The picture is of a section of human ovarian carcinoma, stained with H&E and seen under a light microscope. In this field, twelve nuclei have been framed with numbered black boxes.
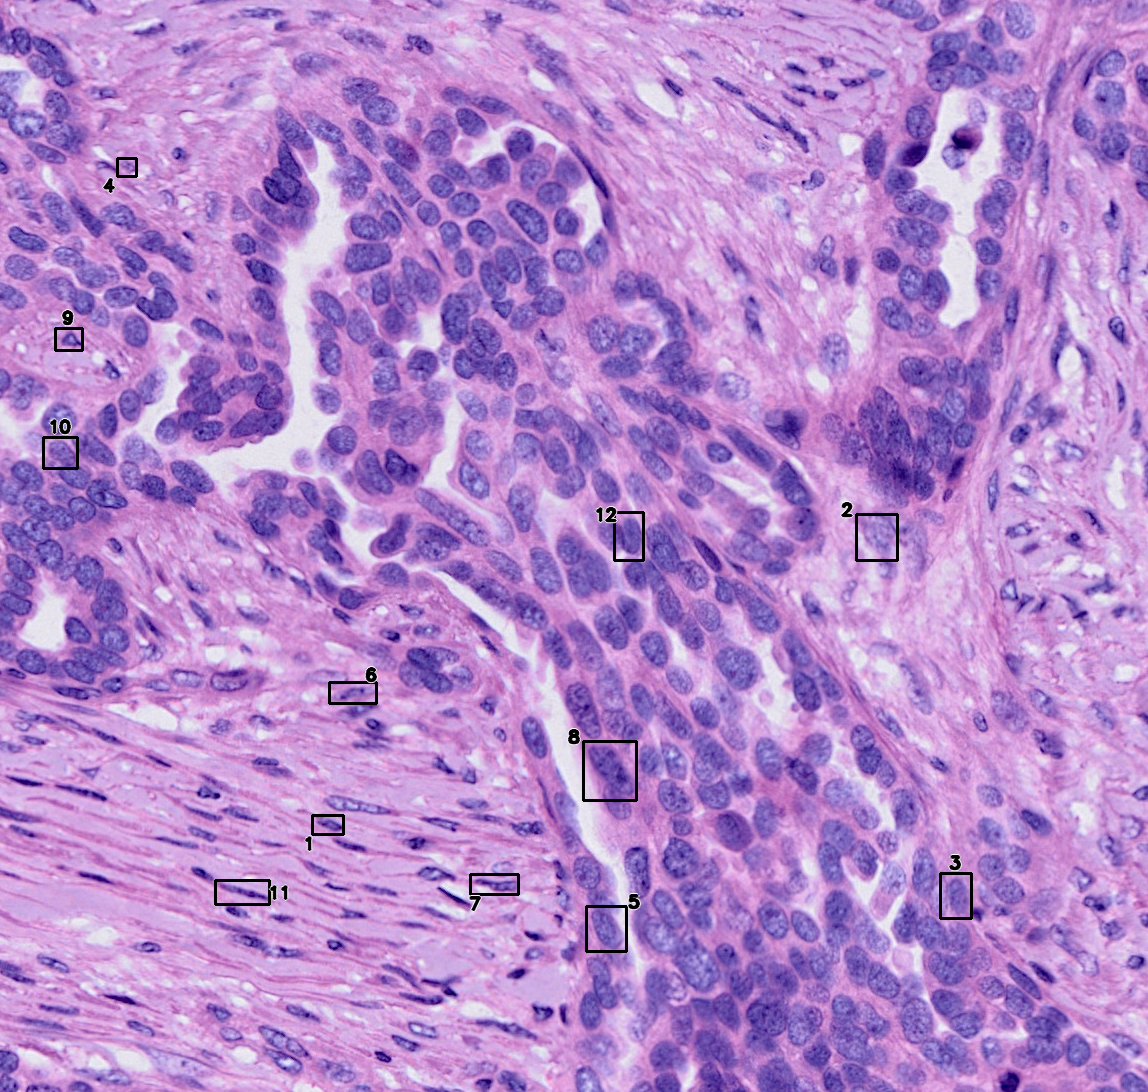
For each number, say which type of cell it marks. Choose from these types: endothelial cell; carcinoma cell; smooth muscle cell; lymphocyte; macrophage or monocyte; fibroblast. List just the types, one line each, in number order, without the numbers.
fibroblast
fibroblast
carcinoma cell
fibroblast
carcinoma cell
fibroblast
fibroblast
carcinoma cell
fibroblast
carcinoma cell
fibroblast
carcinoma cell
